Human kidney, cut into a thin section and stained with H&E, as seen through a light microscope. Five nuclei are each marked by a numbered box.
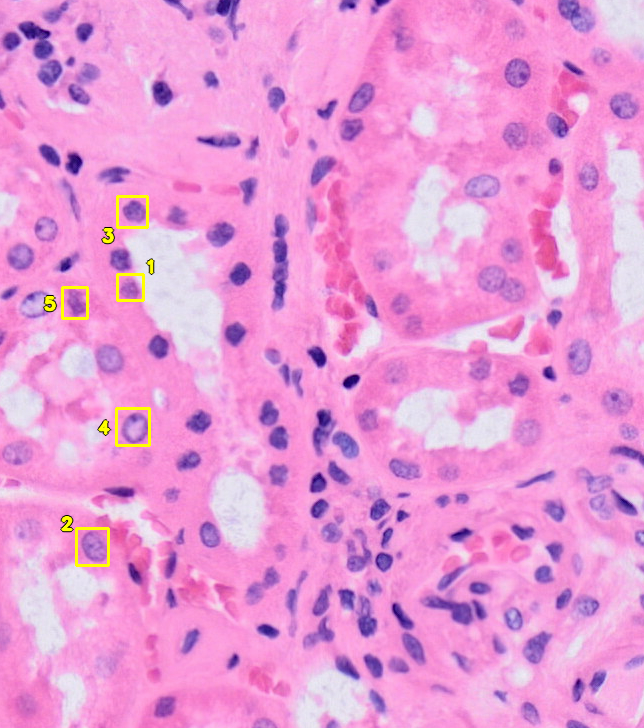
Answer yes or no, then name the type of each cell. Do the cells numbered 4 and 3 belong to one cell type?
No, cell 4 is a proximal tubule cell and cell 3 is a loop of Henle or distal tubule cell.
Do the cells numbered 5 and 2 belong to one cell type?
Yes, both are proximal tubule cells.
